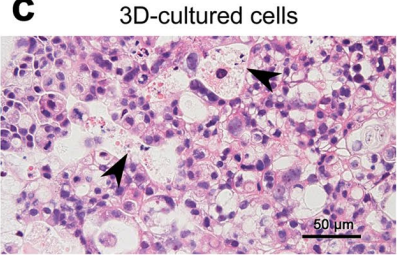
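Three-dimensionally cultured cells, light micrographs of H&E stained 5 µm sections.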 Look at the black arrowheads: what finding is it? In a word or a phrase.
vacuole formation enclosing necrotic cell debris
